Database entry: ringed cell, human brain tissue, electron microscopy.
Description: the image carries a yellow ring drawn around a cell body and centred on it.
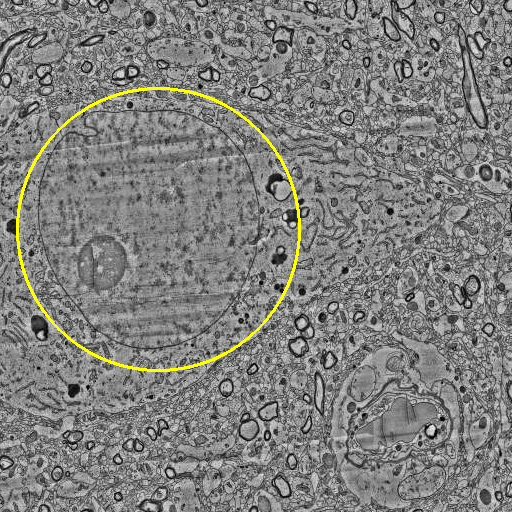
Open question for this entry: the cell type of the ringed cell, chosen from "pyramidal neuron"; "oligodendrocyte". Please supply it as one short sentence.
The ringed cell is a pyramidal neuron.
